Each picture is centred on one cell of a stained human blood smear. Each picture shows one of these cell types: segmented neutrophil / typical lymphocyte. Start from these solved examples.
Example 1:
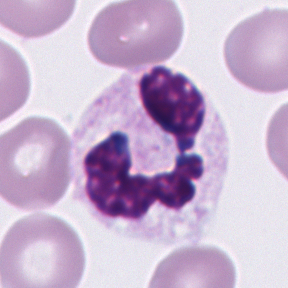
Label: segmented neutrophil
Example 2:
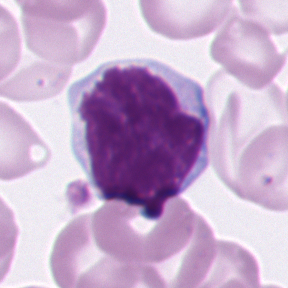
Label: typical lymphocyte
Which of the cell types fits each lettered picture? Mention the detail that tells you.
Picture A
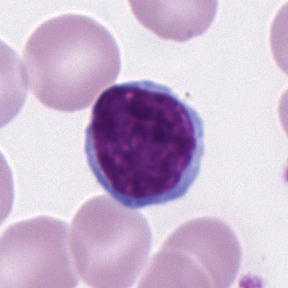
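Answer: typical lymphocyte. The cytoplasm forms only a thin rim around the nucleus.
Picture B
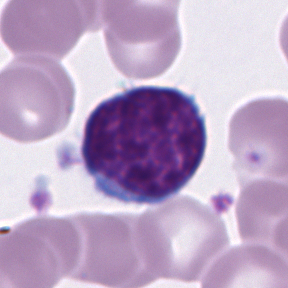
Answer: typical lymphocyte. The cytoplasm forms a thin rim that is widest at the lower left of the cell.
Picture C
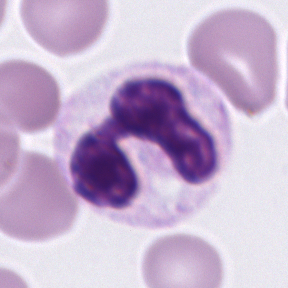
Answer: segmented neutrophil. The nucleus is curved into a horseshoe whose opening faces downward.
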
